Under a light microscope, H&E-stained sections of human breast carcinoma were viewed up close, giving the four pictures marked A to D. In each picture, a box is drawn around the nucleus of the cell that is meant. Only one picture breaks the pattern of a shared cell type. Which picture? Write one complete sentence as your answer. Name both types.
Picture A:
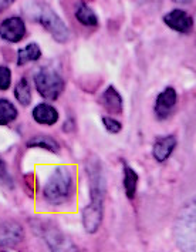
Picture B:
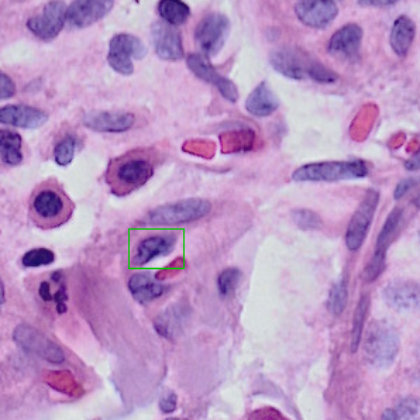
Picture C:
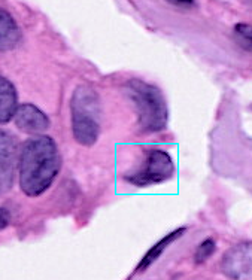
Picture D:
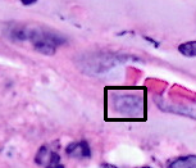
Picture C differs, because its cell is a carcinoma cell and the rest are endothelial cells.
